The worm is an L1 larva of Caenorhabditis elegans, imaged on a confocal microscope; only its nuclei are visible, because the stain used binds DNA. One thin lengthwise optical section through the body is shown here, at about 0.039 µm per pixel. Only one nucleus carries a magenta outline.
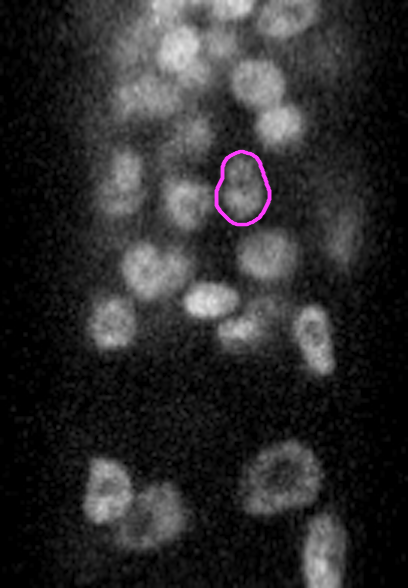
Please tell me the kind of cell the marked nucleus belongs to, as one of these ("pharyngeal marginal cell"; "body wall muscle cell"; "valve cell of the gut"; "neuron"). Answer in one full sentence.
The marked nucleus belongs to a pharyngeal marginal cell.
